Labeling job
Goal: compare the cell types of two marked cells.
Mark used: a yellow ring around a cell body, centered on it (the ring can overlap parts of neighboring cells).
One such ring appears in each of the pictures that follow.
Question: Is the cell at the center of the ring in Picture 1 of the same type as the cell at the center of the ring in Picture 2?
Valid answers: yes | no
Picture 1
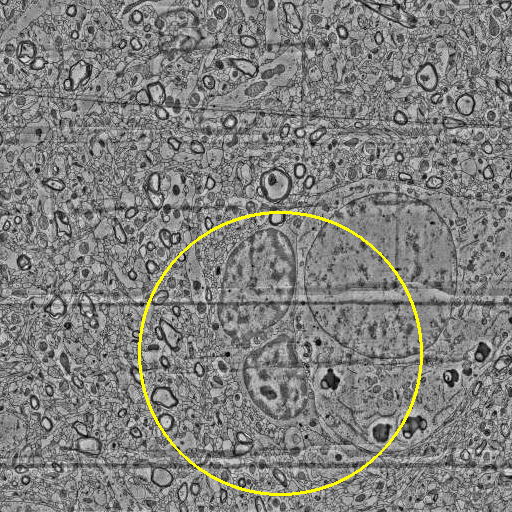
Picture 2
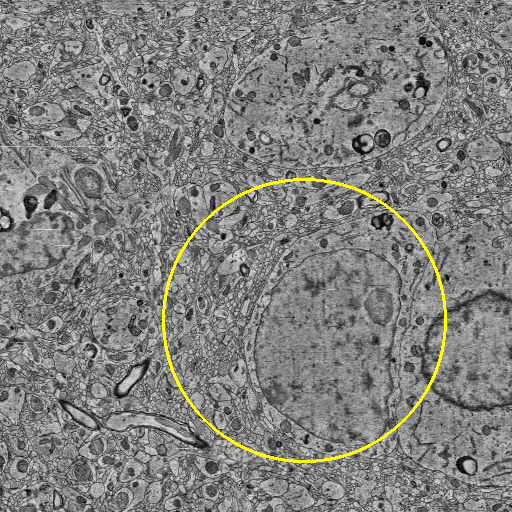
no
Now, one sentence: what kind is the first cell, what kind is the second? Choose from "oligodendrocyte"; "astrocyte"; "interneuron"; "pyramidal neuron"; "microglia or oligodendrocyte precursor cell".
The first picture has an oligodendrocyte at its ring centre, and the second has a pyramidal neuron.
